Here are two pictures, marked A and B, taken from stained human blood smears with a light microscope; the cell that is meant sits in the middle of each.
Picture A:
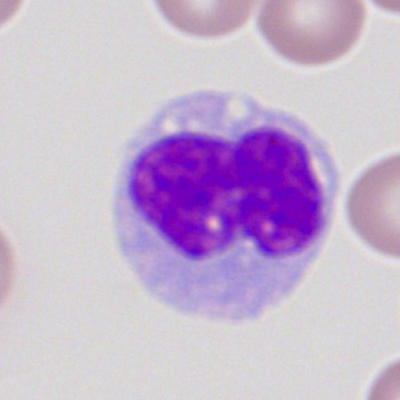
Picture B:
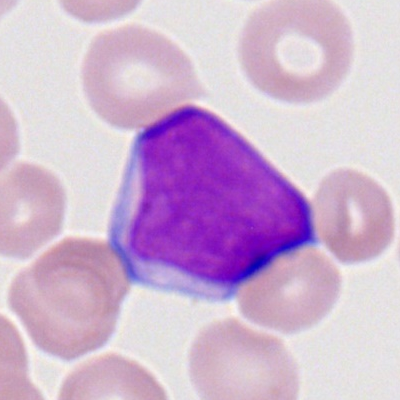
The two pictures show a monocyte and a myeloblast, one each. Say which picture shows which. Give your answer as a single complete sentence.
Picture A is of a monocyte, and picture B is of a myeloblast.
